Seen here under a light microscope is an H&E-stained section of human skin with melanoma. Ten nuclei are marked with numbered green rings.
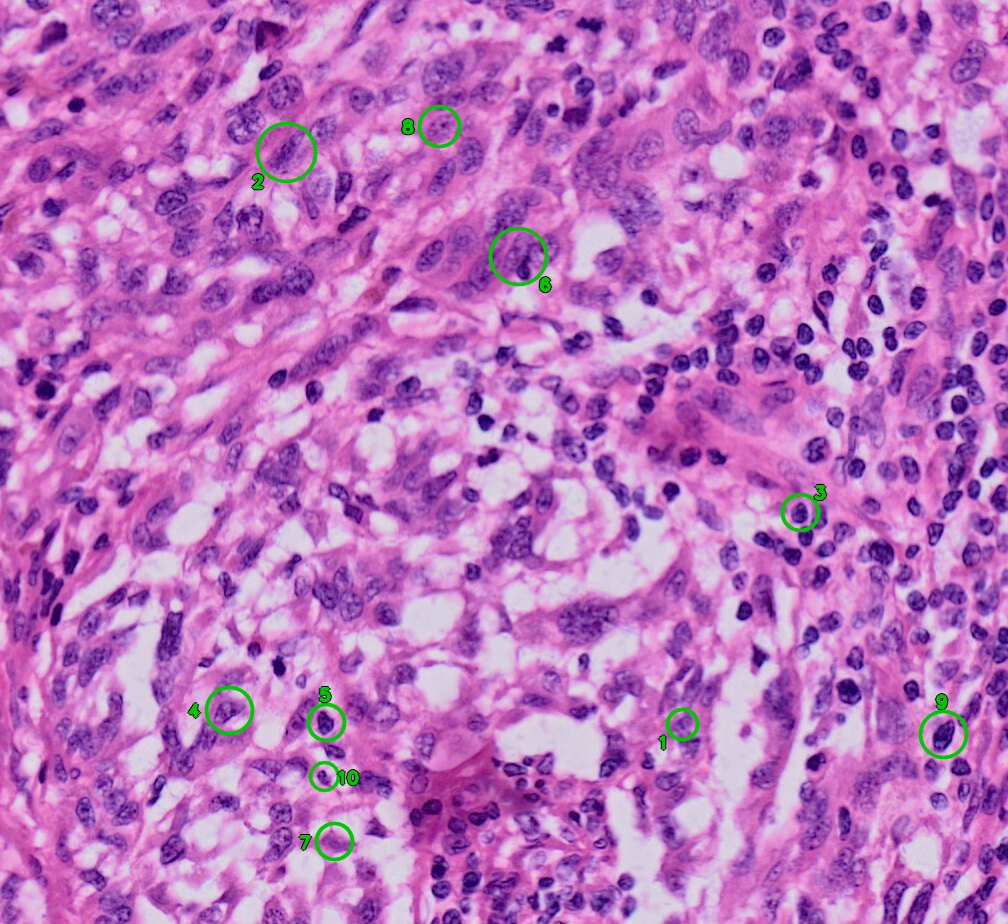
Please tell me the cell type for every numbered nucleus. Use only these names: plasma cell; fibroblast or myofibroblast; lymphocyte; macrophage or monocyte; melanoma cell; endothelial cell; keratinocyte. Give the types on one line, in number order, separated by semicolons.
melanoma cell; melanoma cell; lymphocyte; melanoma cell; lymphocyte; melanoma cell; melanoma cell; melanoma cell; lymphocyte; lymphocyte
